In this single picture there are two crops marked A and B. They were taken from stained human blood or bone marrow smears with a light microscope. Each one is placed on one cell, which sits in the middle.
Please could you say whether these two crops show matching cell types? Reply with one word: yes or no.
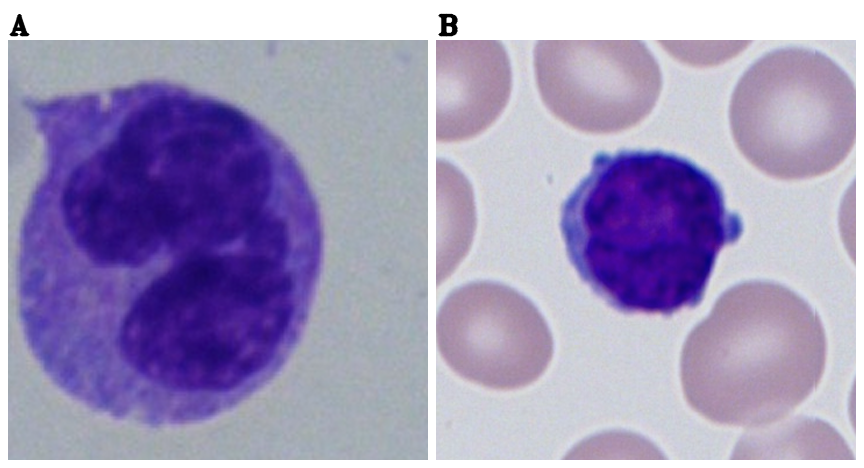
no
